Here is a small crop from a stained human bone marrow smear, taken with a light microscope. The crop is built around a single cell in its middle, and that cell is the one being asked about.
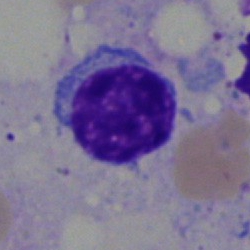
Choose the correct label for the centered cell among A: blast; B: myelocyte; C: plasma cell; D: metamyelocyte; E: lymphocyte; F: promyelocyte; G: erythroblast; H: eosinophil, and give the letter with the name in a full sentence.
Identification: the cell in the middle is a lymphocyte, matching option E.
